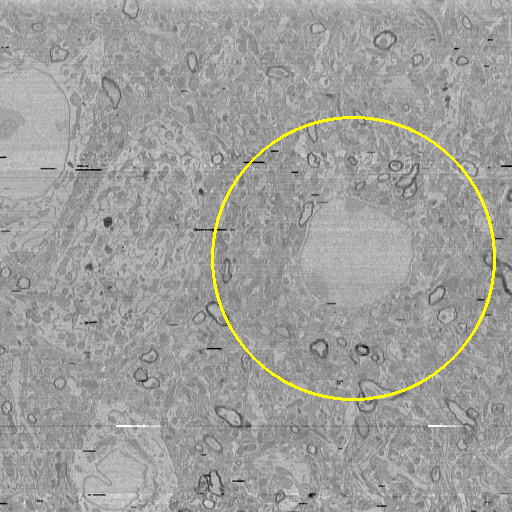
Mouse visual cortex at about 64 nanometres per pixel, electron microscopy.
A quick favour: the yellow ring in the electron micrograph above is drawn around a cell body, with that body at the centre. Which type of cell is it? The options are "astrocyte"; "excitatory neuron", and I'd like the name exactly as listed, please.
astrocyte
